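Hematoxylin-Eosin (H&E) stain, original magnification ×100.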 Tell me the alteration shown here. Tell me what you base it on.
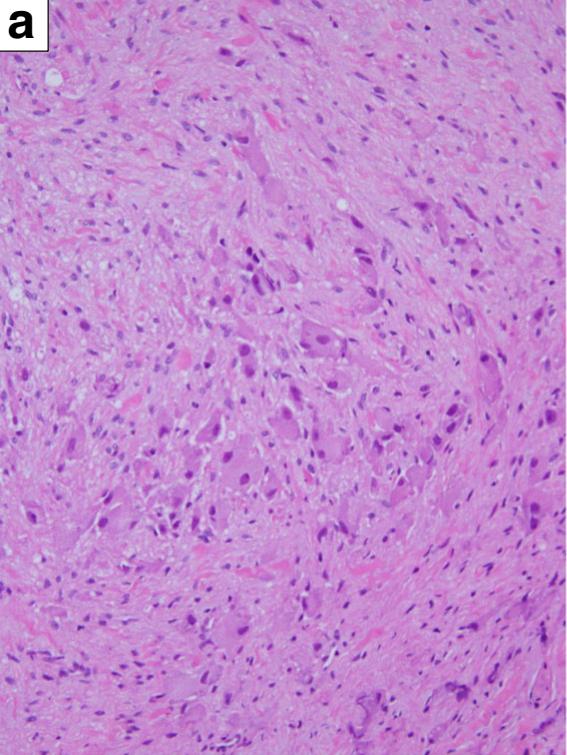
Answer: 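Most of the tissue is made of wavy spindle-shaped cells in a pale pink fibrillary stroma. That points to this answer: ganglioneuroma.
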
